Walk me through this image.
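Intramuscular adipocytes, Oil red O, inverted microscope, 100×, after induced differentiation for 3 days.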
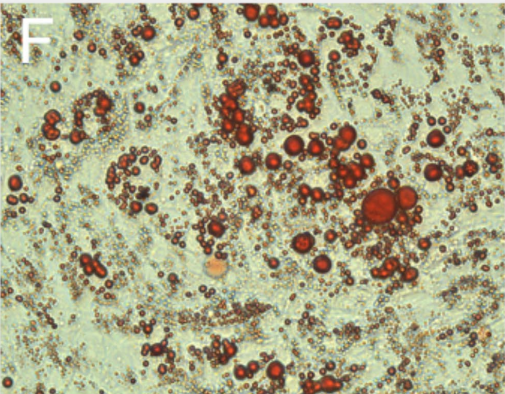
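In places droplets are grouped in clusters or rings that follow the outline of a single cell, and some large droplets appear to have merged. The background cells are pale and flattened, with little stain outside the droplets.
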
